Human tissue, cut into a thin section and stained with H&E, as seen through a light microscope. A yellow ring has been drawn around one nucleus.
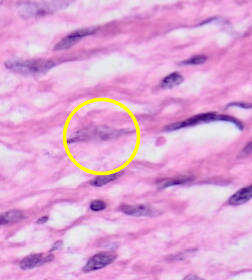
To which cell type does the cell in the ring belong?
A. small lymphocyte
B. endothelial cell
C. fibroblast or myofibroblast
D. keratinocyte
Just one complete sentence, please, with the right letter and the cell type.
What option C states, that the cell in the ring is a fibroblast or myofibroblast, is correct.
